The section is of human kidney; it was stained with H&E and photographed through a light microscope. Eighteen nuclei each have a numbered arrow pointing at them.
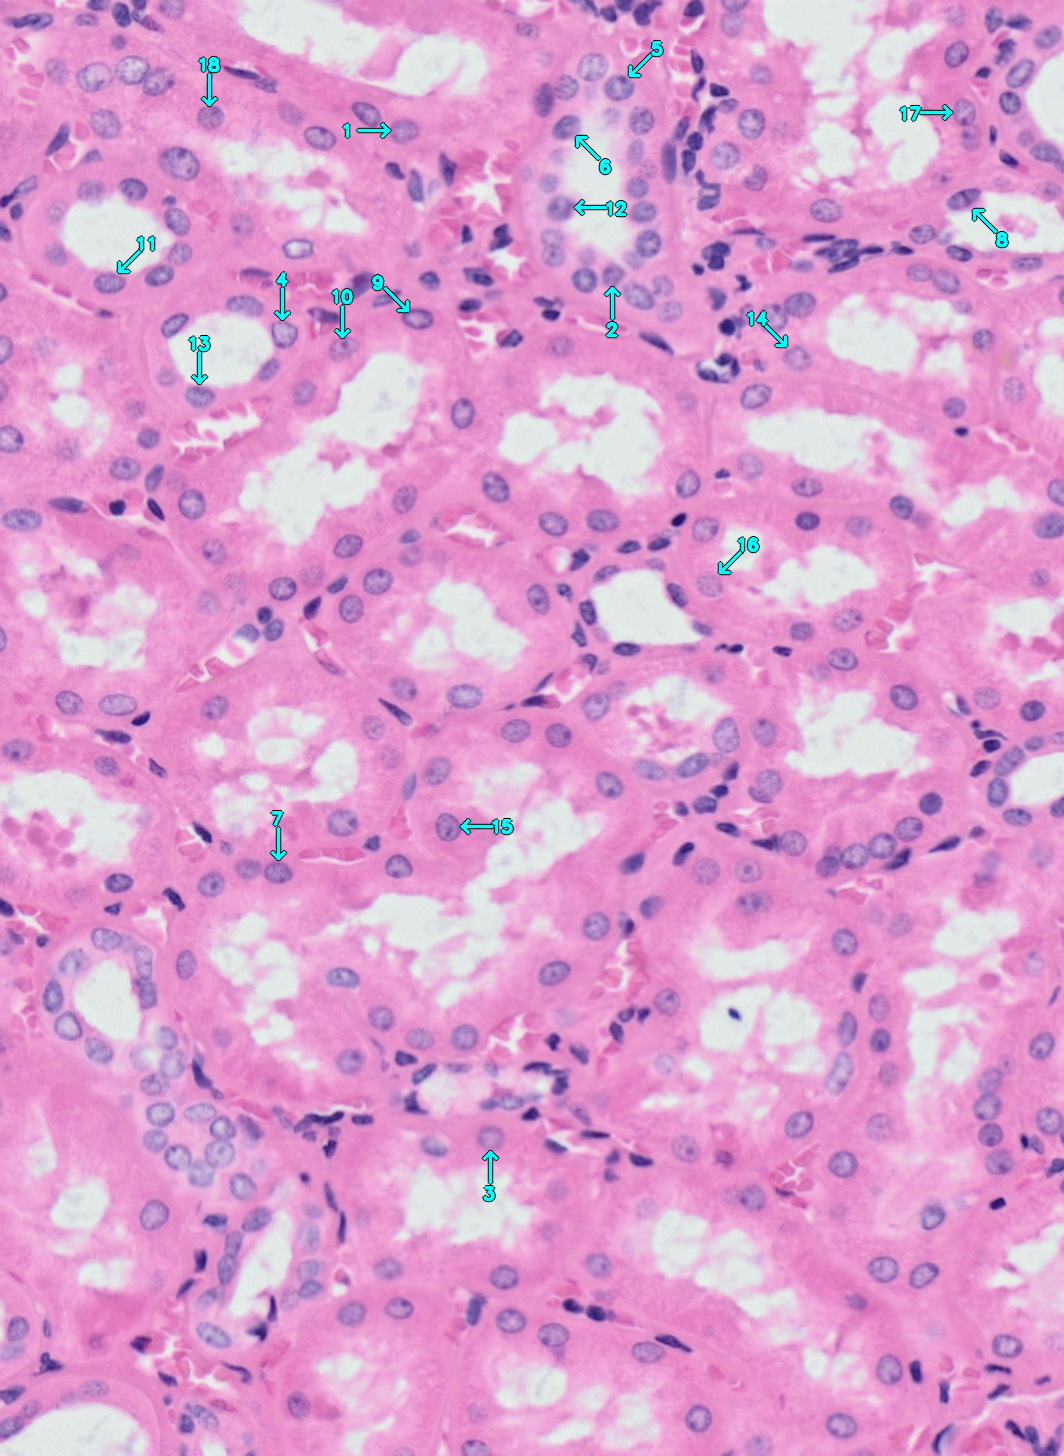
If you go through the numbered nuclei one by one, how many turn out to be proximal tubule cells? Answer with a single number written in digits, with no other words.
10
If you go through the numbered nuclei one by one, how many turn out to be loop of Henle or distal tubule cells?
4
